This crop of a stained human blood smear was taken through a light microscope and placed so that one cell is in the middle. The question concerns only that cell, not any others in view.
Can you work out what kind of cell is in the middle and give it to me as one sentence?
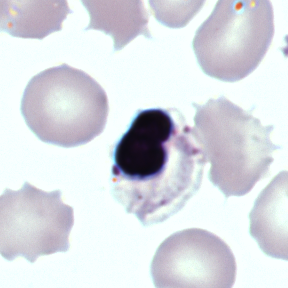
The single cell at the center of the crop is a normoblast.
